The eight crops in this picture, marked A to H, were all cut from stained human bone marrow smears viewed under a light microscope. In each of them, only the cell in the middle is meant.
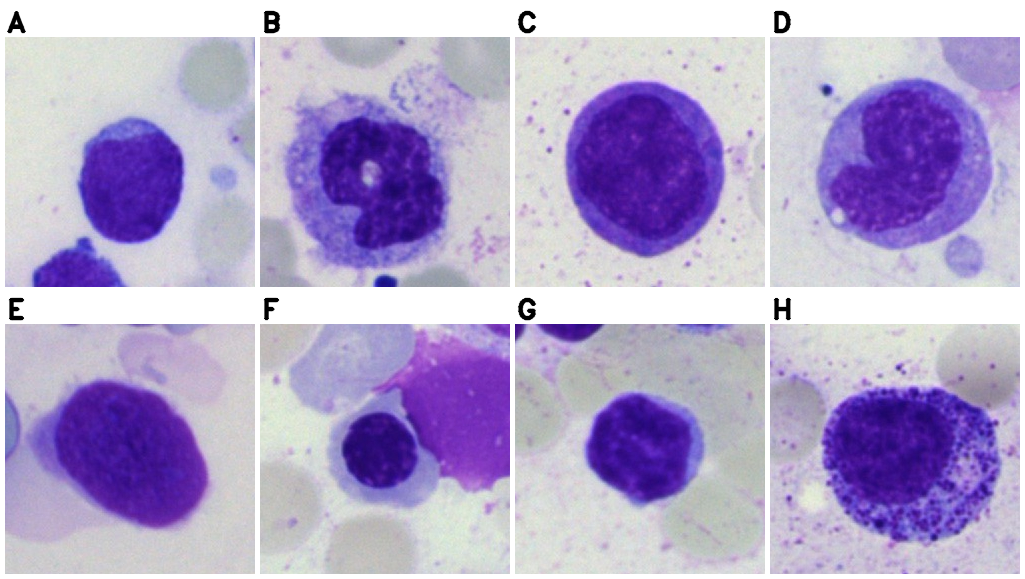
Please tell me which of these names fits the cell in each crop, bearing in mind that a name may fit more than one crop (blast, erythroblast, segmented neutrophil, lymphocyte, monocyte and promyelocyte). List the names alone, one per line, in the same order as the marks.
blast
monocyte
blast
monocyte
blast
erythroblast
lymphocyte
promyelocyte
